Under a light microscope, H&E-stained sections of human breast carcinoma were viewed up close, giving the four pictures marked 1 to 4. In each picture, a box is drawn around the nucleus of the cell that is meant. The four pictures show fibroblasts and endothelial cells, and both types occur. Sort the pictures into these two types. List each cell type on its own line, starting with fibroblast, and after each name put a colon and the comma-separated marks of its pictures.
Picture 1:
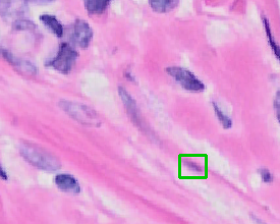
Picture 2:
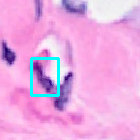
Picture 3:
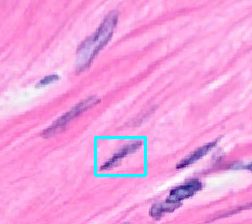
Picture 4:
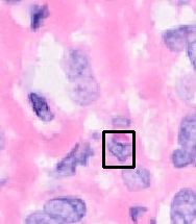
fibroblast: 1, 3
endothelial cell: 2, 4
